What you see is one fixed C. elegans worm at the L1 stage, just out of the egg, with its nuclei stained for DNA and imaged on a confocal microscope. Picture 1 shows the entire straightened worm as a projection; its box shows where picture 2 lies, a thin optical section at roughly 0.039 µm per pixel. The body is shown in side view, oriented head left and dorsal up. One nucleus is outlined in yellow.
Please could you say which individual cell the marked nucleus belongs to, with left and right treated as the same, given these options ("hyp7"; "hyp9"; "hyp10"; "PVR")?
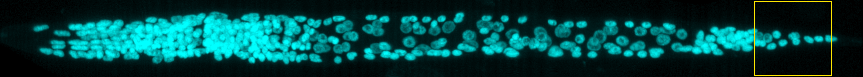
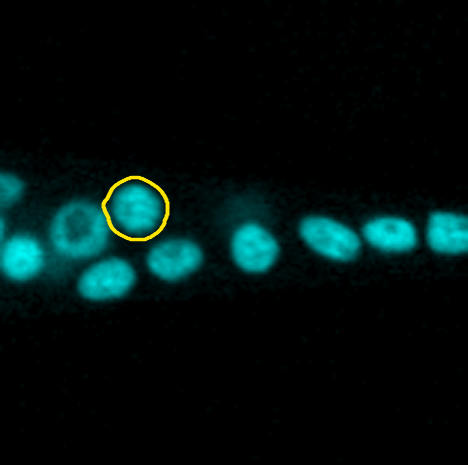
PVR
